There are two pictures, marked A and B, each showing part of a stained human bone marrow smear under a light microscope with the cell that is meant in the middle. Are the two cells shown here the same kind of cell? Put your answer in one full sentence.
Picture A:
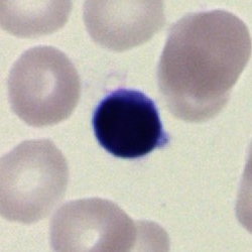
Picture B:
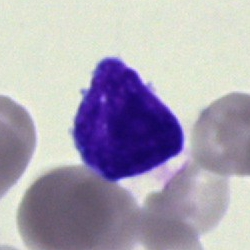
Yes, they are the same type: both are lymphocytes.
